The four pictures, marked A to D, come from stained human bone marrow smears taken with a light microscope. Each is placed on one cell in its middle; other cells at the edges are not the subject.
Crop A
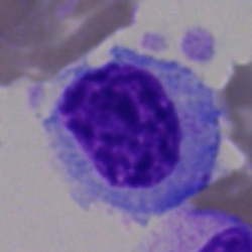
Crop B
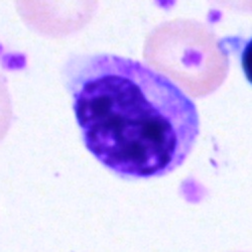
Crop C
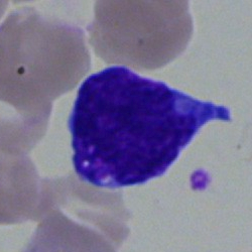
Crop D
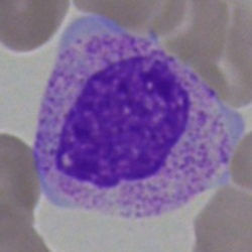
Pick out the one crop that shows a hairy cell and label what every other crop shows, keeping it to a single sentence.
So crop A shows a hairy cell, while crop B is a metamyelocyte, crop C is a blast and crop D is a myelocyte.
